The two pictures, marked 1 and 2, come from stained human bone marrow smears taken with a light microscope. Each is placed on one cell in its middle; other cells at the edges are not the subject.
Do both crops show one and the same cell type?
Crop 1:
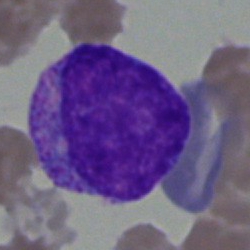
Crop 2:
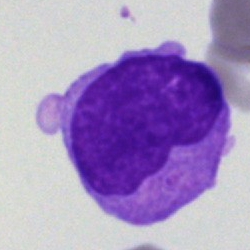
yes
